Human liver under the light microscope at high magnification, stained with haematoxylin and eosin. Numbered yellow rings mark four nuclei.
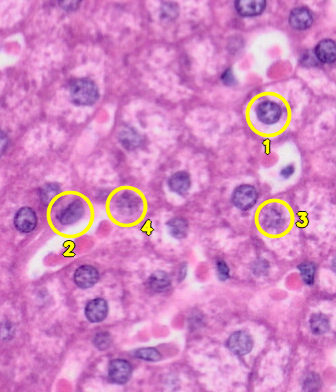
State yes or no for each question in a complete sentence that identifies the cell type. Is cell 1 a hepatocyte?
Yes, of the numbered cells, number 1 is a hepatocyte.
